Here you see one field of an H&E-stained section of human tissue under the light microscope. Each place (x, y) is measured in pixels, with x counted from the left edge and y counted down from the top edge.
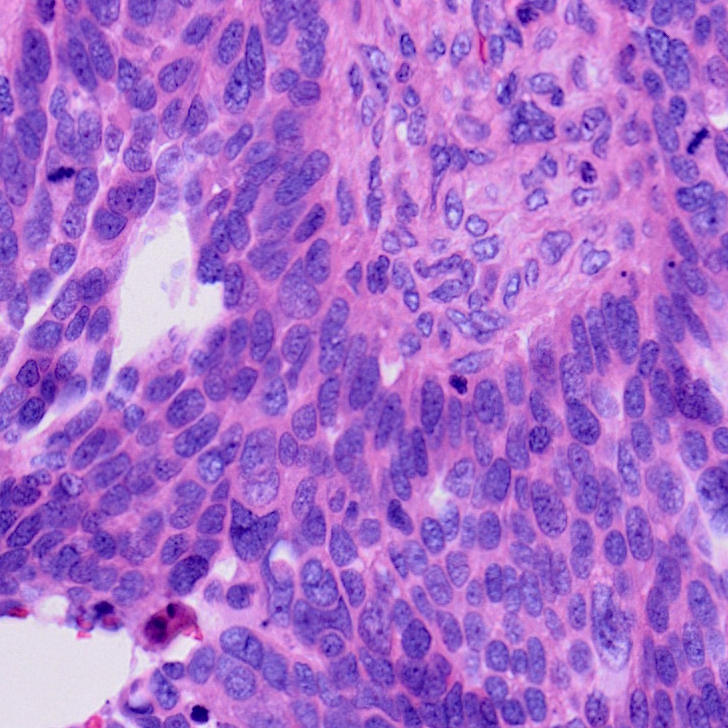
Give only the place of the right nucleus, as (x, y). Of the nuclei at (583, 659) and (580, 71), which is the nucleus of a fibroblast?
(580, 71)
